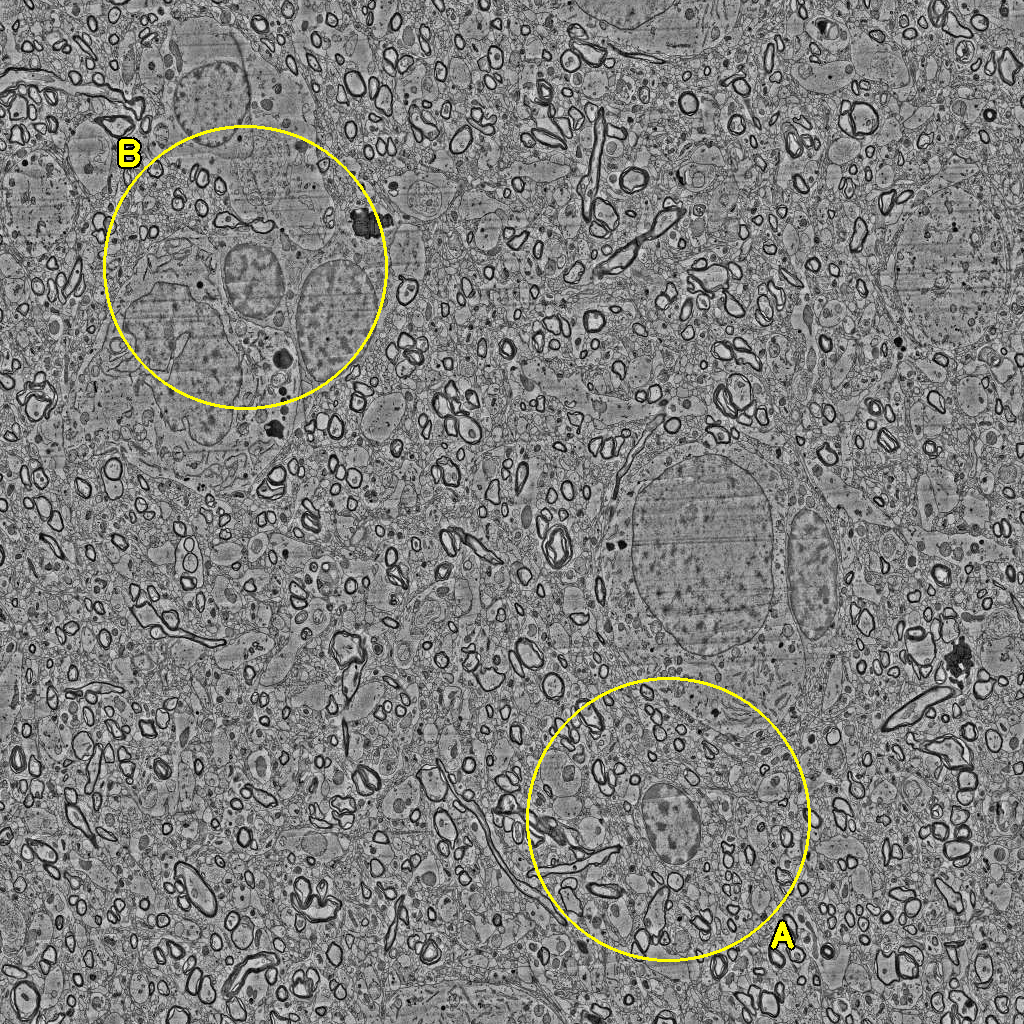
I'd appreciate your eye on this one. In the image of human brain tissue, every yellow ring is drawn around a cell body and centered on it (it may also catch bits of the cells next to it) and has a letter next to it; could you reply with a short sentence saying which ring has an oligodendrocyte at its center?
Ring B is centered on it.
